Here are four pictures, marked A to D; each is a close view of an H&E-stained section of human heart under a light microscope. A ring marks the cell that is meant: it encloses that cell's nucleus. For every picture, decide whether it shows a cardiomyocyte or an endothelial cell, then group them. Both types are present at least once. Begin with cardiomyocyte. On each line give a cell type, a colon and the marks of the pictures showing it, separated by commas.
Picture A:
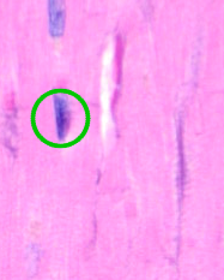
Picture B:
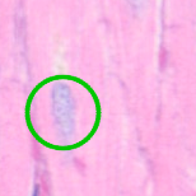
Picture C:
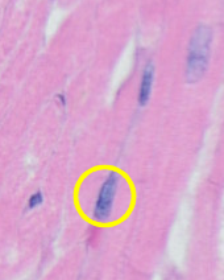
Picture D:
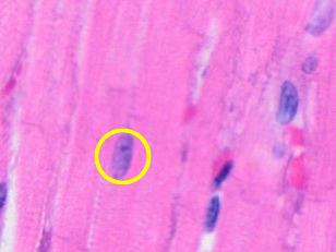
cardiomyocyte: B, D
endothelial cell: A, C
